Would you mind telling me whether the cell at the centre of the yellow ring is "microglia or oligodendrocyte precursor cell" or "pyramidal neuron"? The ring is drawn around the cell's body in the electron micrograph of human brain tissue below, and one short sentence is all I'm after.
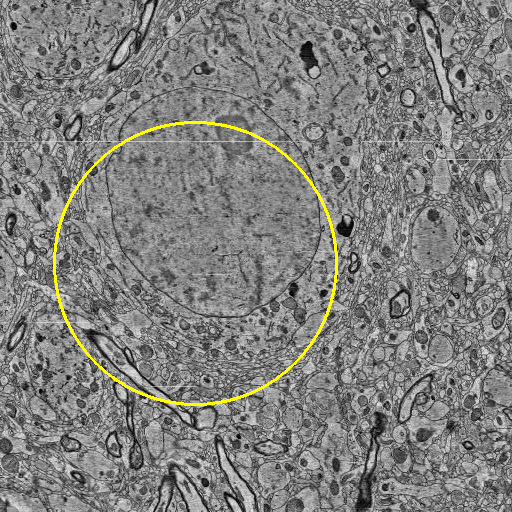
In the centre of the ring lies a pyramidal neuron.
